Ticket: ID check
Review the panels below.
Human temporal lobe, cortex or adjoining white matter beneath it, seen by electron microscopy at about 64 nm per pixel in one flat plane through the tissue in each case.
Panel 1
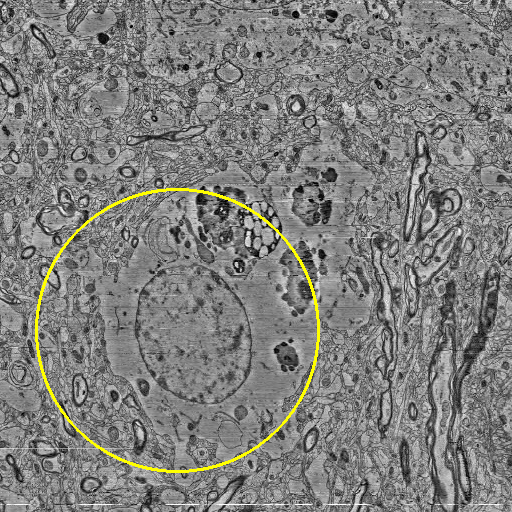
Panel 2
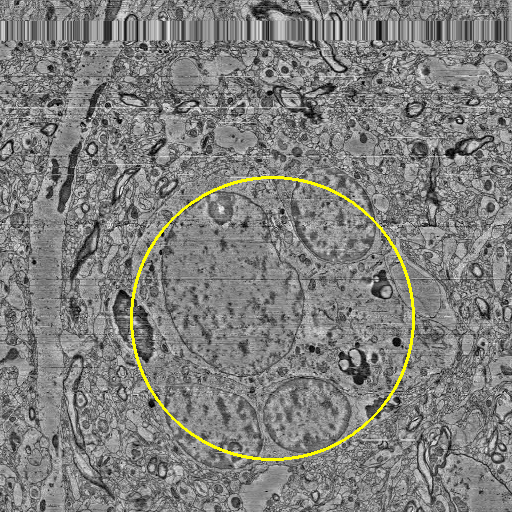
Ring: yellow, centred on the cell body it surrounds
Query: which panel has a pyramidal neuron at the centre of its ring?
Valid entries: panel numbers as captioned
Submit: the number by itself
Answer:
2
